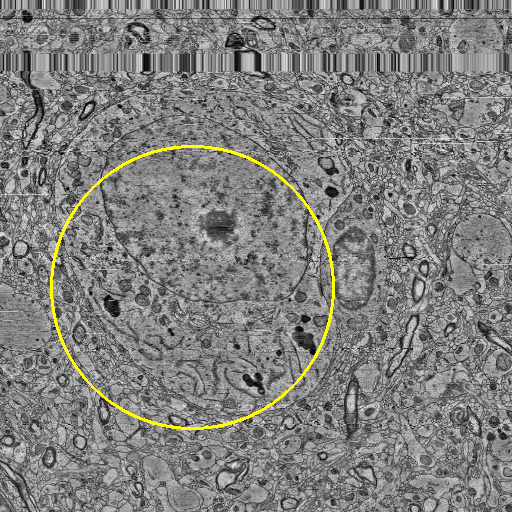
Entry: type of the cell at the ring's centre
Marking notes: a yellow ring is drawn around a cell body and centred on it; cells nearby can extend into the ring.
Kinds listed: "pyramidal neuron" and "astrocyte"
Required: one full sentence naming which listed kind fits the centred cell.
My entry names a pyramidal neuron as the cell whose body the yellow ring centres on.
